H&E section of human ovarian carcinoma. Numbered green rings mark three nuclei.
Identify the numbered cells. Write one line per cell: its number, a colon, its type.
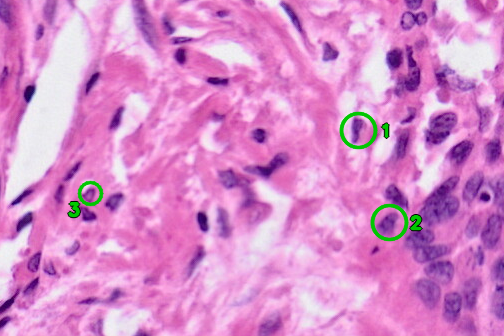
1: fibroblast
2: macrophage or monocyte
3: fibroblast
